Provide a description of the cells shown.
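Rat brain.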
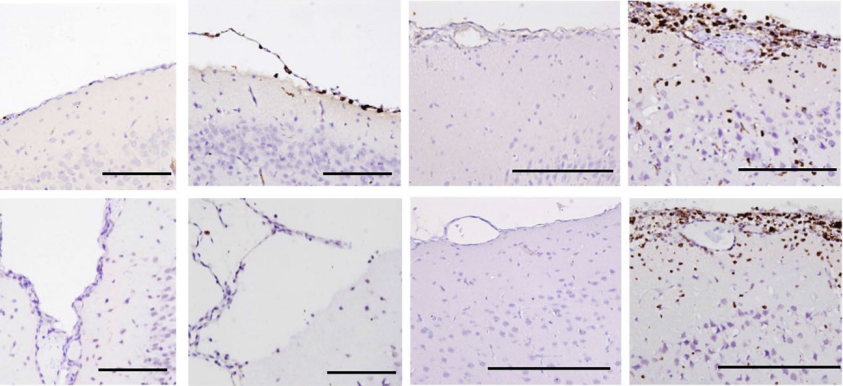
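Blue-purple nuclei mark the parenchymal cells, and thin meningeal layers line the surface. In the top row, brown cells are few at the left, then line the surface membrane, and in the rightmost image crowd the surface in a dense band and spread into the tissue beneath. In the bottom row, the first three images show almost no brown cells, while the rightmost shows a thick layer of small brown cells over the surface with many scattered below it.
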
